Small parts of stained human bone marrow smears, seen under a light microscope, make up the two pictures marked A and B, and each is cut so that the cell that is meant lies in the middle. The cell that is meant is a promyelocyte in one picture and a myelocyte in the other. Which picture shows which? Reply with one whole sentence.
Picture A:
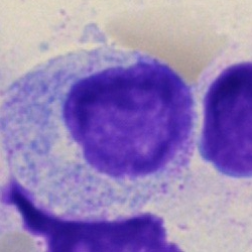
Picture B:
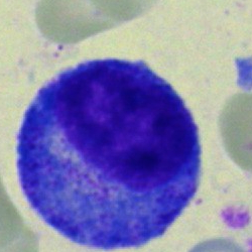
It is picture A that shows a myelocyte, and picture B that shows a promyelocyte.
